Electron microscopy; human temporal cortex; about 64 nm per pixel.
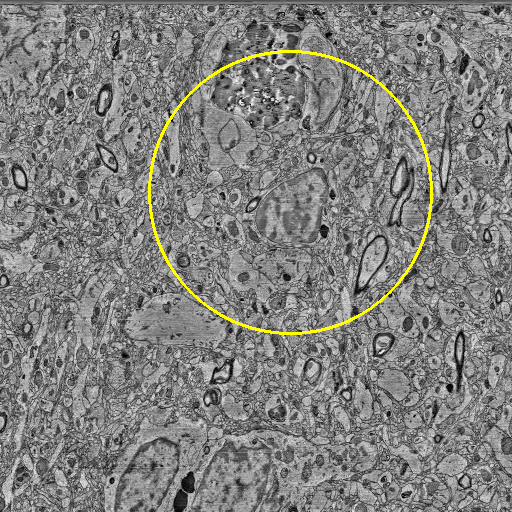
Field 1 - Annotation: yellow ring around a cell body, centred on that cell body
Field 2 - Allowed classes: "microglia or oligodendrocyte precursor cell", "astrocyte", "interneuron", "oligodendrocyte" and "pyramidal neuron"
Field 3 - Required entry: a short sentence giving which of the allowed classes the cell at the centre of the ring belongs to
The centred cell is a microglial cell or oligodendrocyte precursor cell.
